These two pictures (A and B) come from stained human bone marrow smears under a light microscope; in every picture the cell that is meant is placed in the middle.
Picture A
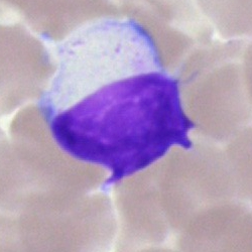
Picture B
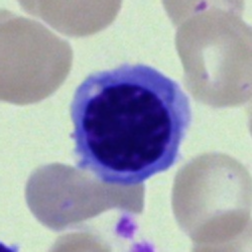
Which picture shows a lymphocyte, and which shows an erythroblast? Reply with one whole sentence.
Picture A shows a lymphocyte and picture B shows an erythroblast.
